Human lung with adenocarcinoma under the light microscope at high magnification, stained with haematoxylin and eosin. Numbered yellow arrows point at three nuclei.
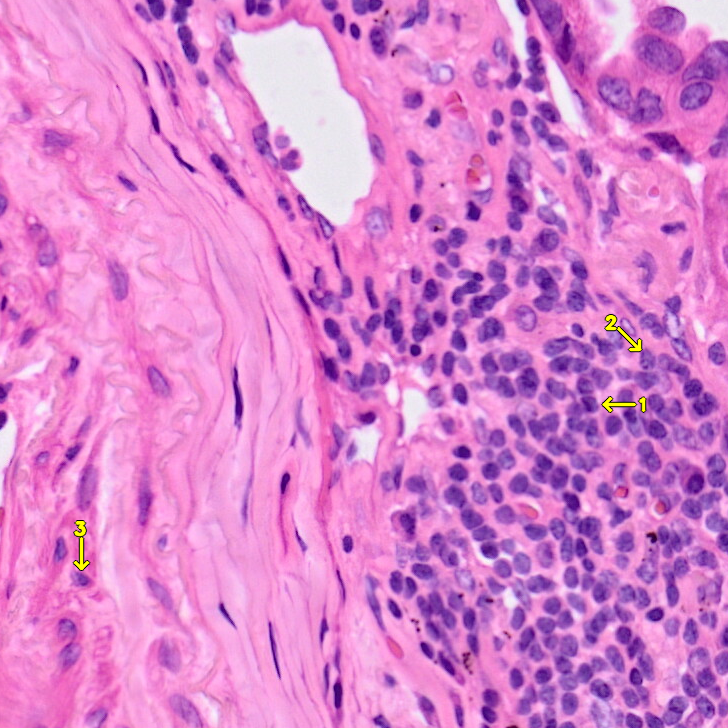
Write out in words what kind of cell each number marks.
Cells 1 and 2 are lymphocytes. Cell 3 is a smooth muscle cell or pericyte.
